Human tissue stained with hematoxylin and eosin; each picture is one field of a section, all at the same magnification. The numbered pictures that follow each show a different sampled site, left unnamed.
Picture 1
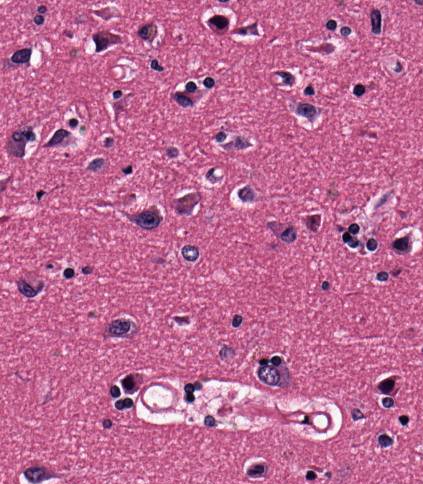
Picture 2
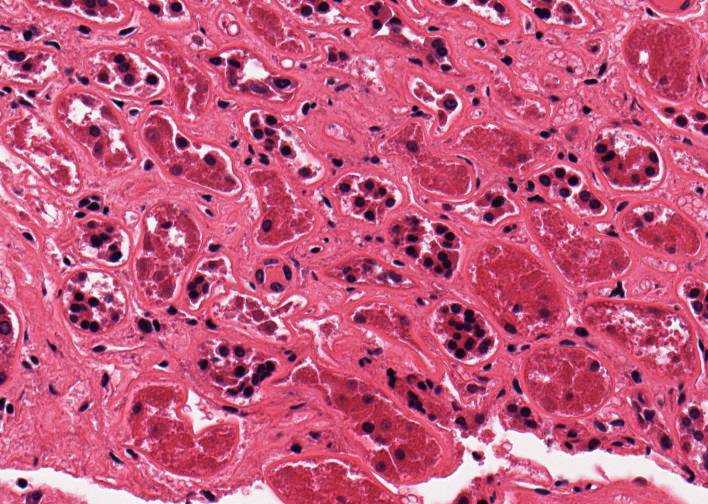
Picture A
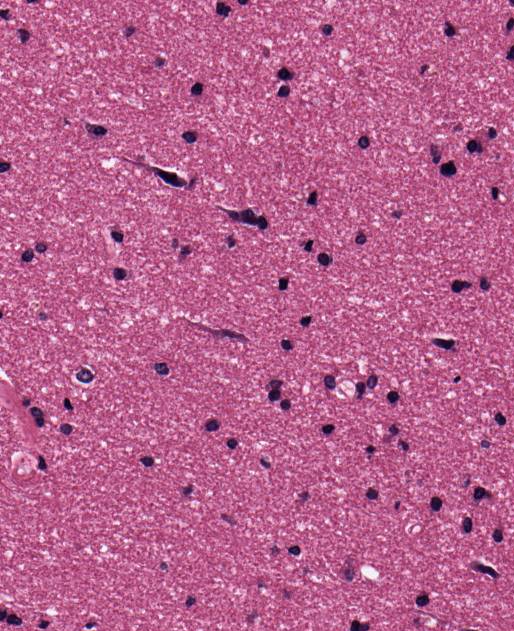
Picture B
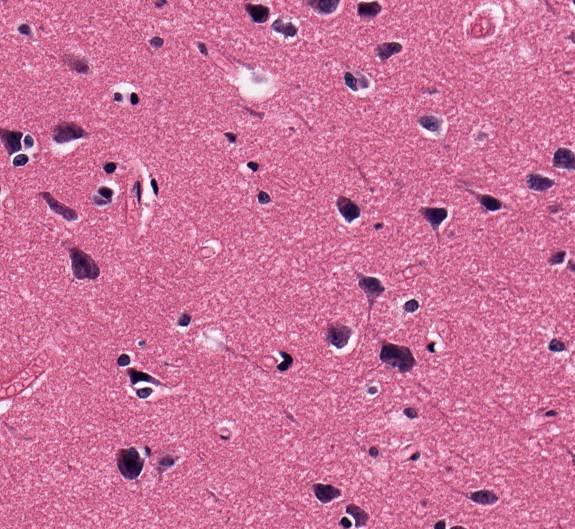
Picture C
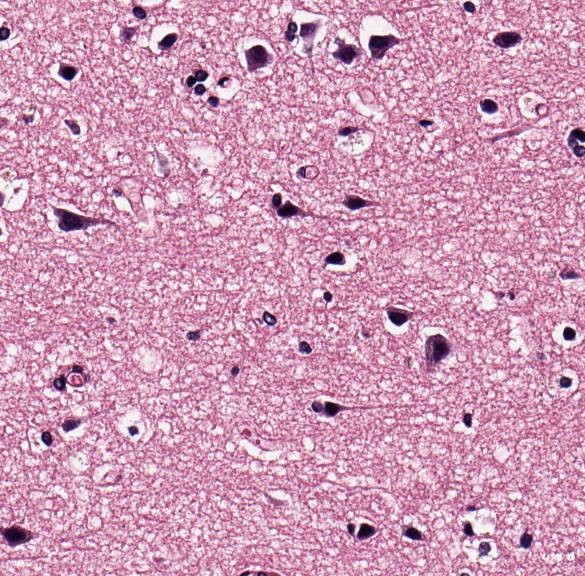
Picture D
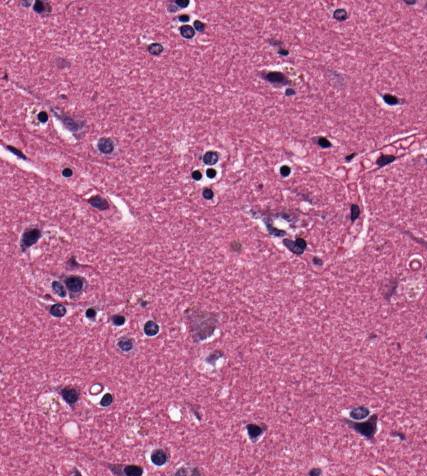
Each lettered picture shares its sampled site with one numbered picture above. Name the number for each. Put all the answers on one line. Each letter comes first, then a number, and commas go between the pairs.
A 1, B 1, C 1, D 1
